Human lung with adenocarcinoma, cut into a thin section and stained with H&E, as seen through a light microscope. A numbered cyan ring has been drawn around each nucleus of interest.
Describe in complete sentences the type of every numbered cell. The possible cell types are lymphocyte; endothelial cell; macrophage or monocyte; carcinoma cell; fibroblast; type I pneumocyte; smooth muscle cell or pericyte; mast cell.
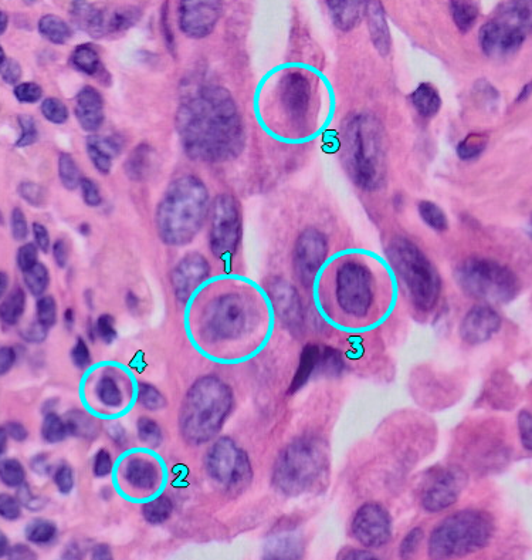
Cell 1 is a carcinoma cell, cell 2 is a lymphocyte, cell 3 is a carcinoma cell, cell 4 is a lymphocyte and cell 5 is a carcinoma cell.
